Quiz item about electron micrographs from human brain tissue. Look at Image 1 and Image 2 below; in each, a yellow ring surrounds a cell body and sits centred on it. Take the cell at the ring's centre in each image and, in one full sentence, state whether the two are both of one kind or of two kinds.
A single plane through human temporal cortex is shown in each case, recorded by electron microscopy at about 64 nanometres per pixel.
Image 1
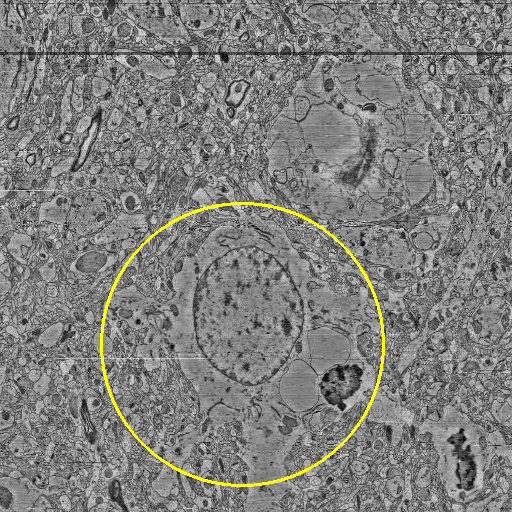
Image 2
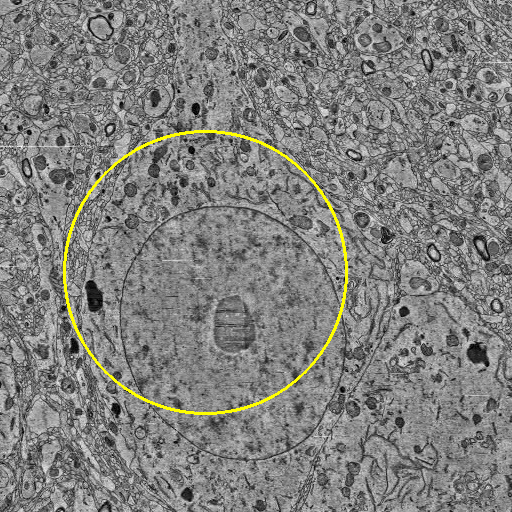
In Image 1 and Image 2, the cells at the ring centres are of two kinds.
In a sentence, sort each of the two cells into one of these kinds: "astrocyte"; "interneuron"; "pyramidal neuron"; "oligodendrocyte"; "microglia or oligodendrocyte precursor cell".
The first of the two cells is an astrocyte, and the second is a pyramidal neuron.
